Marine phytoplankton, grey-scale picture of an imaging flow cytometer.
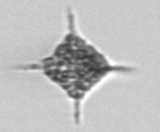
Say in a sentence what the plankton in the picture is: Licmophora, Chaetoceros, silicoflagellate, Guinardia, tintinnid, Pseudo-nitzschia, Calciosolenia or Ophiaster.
This is a silicoflagellate.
